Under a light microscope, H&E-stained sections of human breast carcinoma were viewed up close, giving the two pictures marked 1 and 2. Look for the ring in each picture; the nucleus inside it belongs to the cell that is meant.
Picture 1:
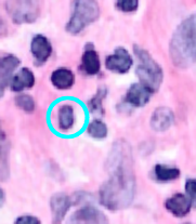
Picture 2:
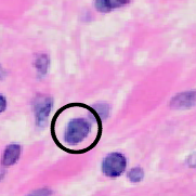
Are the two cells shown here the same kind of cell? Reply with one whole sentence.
Yes, both cells are lymphocytes.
